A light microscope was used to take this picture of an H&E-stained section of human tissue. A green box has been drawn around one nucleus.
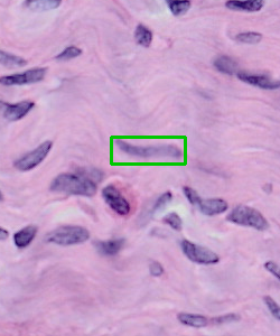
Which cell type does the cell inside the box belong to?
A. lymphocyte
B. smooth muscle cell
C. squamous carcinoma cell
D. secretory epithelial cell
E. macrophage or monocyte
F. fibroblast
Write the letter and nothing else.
F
